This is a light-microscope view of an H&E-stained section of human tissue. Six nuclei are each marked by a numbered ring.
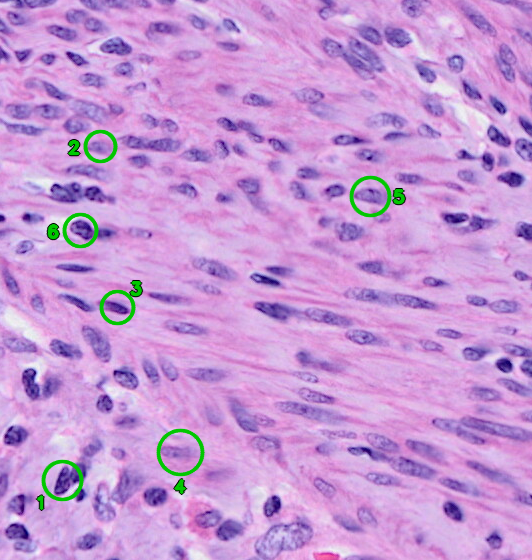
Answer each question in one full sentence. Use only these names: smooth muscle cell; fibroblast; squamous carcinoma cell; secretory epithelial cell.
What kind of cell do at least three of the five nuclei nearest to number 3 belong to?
Fibroblasts make up most of the five nuclei closest to number 3.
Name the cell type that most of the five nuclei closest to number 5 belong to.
Of the five nuclei nearest to number 5, most belong to smooth muscle cells.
